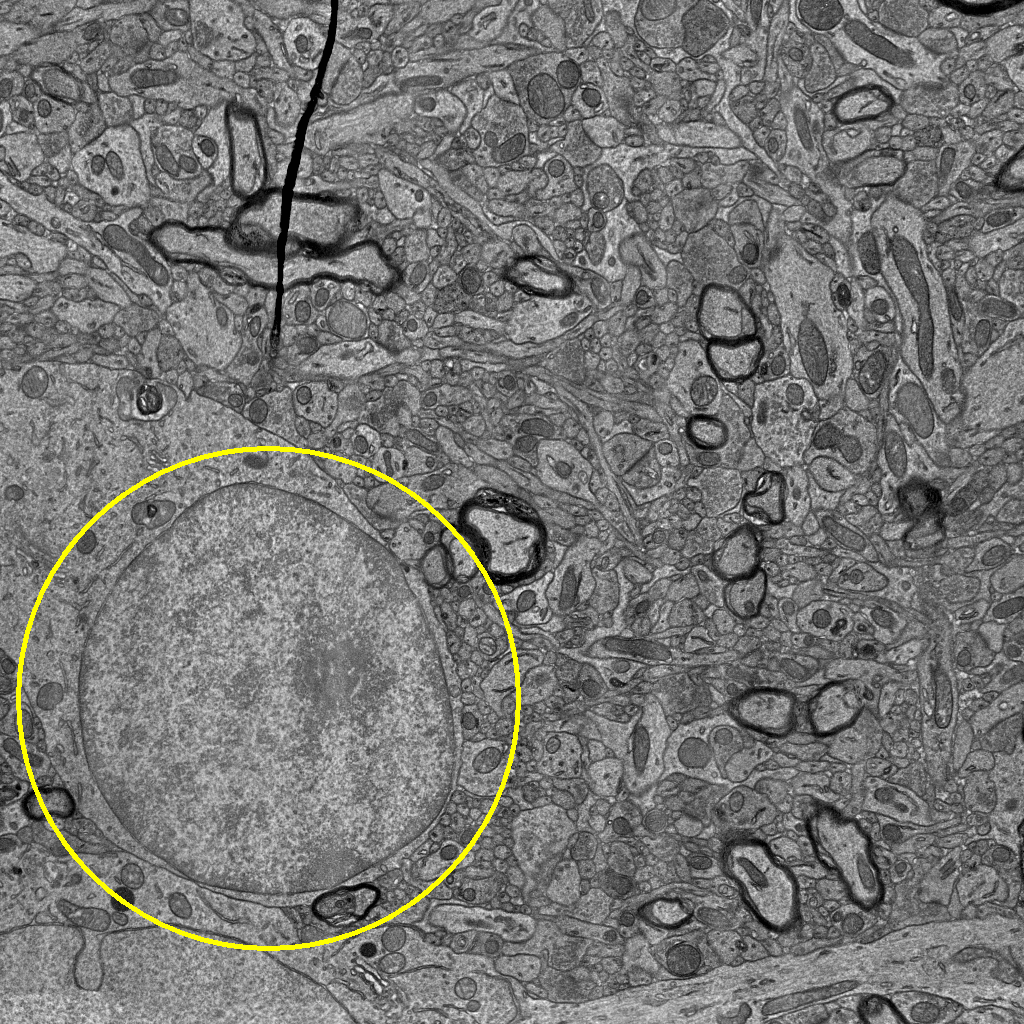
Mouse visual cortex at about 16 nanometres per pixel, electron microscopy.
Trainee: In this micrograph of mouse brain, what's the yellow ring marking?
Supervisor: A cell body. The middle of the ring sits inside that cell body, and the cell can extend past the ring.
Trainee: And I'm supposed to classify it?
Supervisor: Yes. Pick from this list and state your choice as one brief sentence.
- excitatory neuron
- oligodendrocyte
The cell at the ring's center is an oligodendrocyte.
